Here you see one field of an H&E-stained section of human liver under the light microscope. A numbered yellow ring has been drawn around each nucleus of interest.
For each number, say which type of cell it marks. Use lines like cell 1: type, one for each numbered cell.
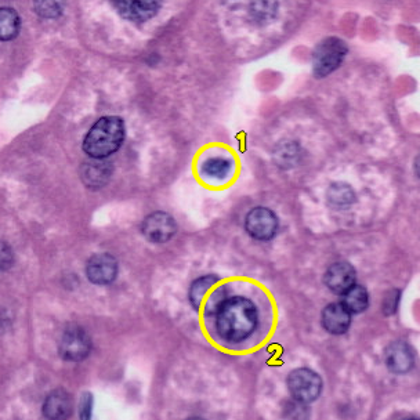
cell 1: lymphocyte
cell 2: hepatocyte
